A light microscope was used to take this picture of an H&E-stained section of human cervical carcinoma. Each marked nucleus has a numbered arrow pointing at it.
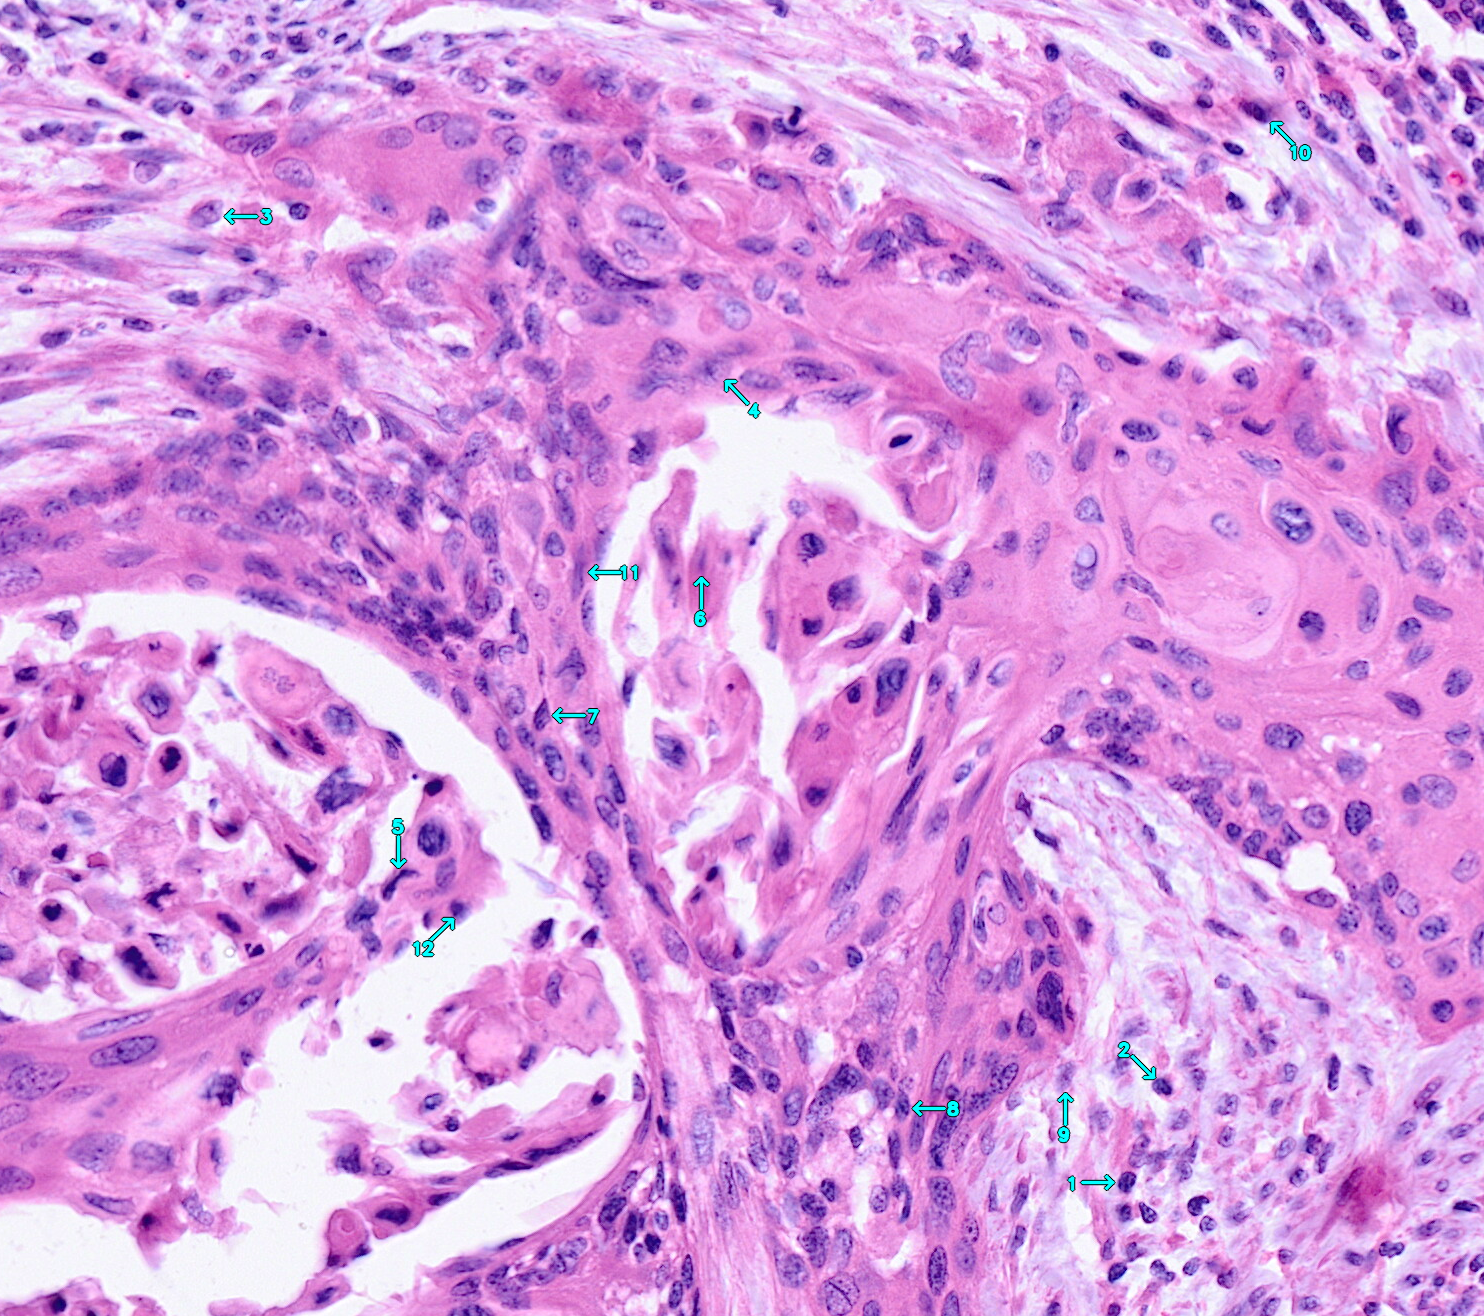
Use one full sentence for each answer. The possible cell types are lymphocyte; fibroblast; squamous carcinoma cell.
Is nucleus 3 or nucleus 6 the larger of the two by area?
The larger nucleus is 3, at roughly 2.5 times the area of 6.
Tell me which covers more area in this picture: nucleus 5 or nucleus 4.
At about 2.5 times the area of nucleus 5, nucleus 4 is the larger of the two.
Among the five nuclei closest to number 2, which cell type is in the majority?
Around number 2, most of the five nearest nuclei are those of fibroblasts.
